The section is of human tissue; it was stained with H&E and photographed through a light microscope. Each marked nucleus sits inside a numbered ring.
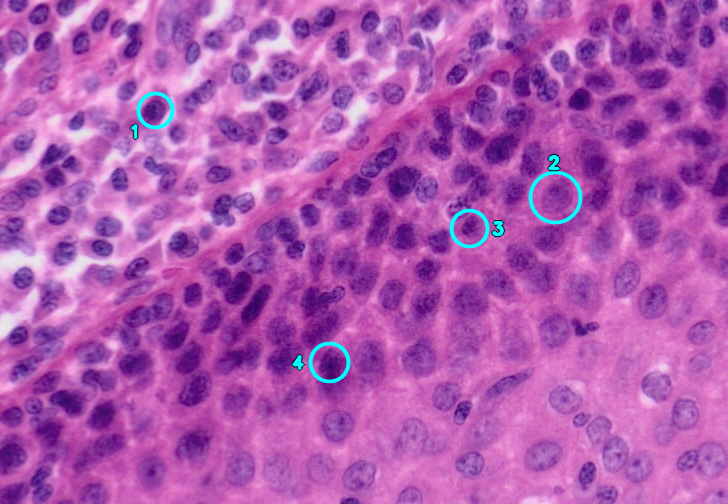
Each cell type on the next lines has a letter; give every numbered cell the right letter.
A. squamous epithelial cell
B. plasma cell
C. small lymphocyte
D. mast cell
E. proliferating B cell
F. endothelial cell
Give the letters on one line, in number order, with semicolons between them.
B; A; A; A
